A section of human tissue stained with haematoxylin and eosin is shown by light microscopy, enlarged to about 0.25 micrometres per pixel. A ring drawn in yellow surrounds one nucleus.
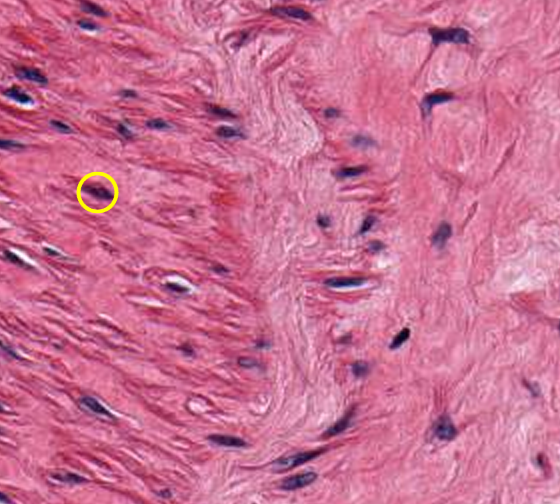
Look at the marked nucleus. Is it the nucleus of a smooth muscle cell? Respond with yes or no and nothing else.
yes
